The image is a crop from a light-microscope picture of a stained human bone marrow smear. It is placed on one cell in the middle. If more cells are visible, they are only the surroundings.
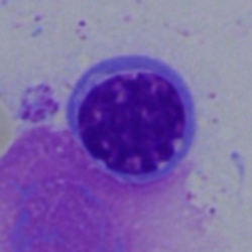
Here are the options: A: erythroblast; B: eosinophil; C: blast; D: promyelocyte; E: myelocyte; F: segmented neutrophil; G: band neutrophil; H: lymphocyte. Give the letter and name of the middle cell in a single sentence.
The cell in the center of this crop is an erythroblast, so option A is the one to pick.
